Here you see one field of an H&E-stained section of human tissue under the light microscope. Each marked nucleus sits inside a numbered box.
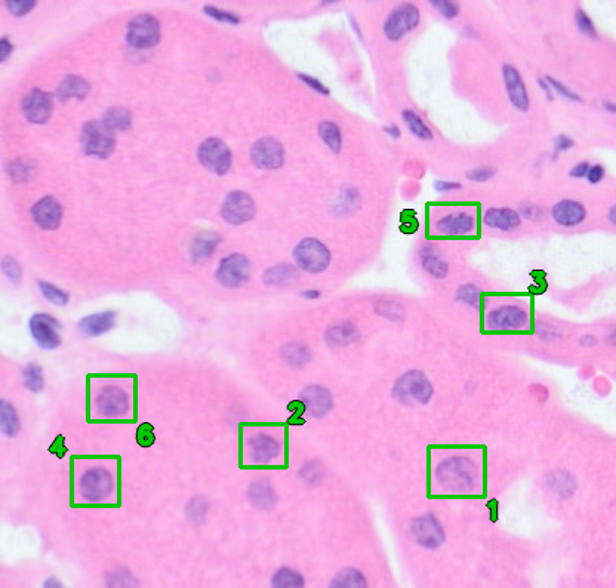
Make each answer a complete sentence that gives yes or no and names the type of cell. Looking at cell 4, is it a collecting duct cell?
No, cell number 4 is a proximal tubule cell; it is not a collecting duct cell.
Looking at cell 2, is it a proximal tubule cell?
Yes, the cell that number 2 points to is a proximal tubule cell.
